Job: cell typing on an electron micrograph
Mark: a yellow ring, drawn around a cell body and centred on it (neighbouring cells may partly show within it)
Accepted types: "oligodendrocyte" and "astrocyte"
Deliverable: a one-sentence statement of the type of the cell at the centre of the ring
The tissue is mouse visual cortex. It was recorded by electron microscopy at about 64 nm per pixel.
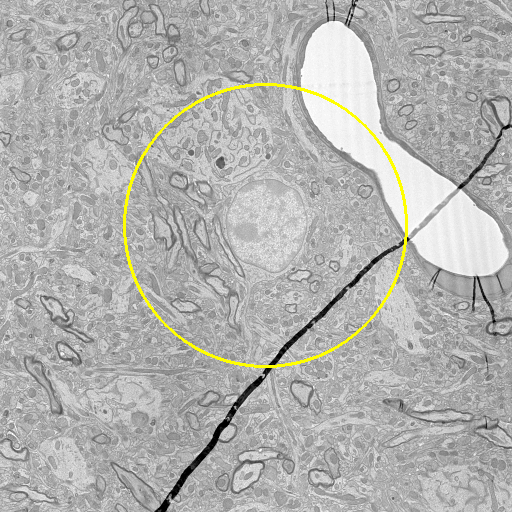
The centred cell body is that of an oligodendrocyte.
